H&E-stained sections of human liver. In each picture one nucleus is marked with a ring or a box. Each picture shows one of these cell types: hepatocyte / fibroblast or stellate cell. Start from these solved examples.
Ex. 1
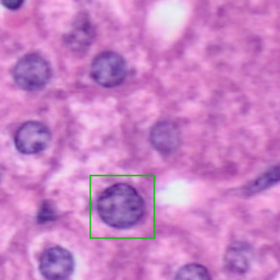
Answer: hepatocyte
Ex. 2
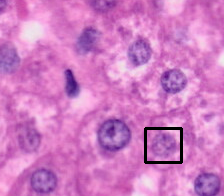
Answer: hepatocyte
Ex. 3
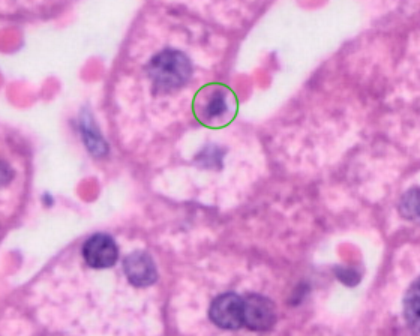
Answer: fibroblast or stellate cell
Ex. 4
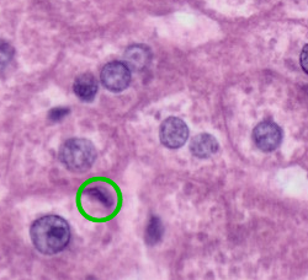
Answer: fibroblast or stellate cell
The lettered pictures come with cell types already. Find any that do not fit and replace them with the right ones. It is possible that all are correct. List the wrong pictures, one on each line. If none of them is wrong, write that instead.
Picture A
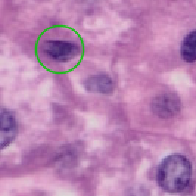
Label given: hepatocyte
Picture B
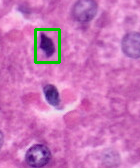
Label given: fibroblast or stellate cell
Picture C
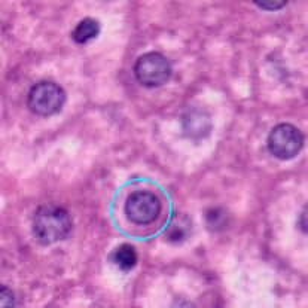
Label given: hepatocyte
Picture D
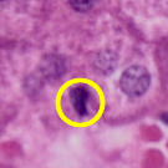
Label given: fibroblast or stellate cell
Wrong: A (hepatocyte); correct: fibroblast or stellate cell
